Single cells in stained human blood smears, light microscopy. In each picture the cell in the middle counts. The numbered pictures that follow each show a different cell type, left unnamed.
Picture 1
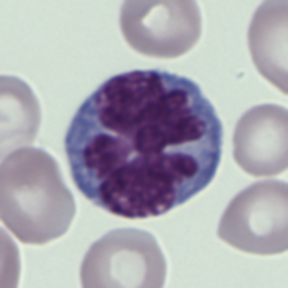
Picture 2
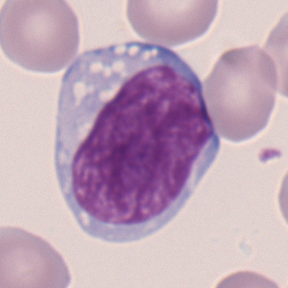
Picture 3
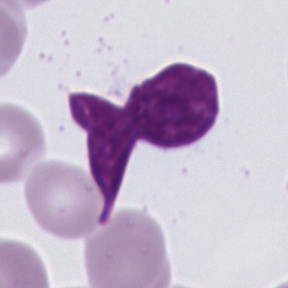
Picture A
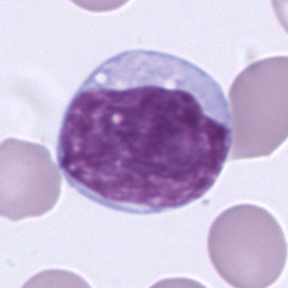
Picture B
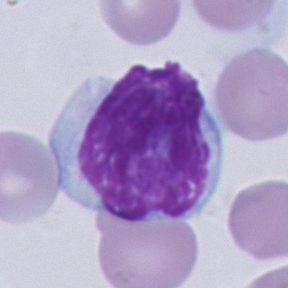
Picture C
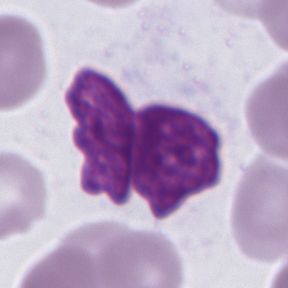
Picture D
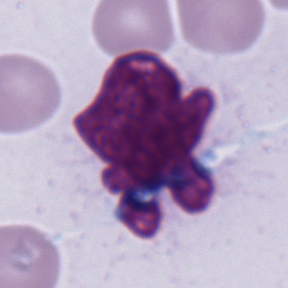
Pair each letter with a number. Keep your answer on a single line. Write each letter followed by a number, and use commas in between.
A 2, B 2, C 3, D 3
